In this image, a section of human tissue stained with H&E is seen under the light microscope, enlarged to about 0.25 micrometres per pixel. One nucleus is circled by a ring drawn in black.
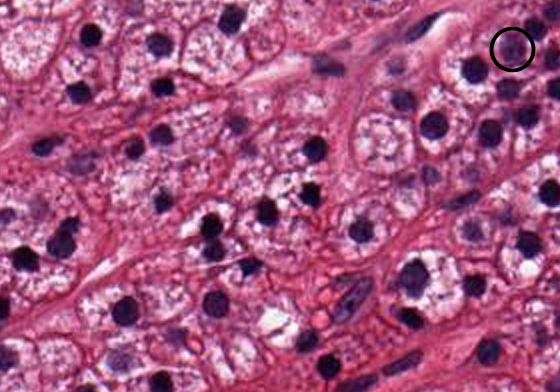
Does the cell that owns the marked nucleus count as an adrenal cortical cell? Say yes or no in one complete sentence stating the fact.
Yes, the marked nucleus is identified as that of an adrenal cortical cell.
